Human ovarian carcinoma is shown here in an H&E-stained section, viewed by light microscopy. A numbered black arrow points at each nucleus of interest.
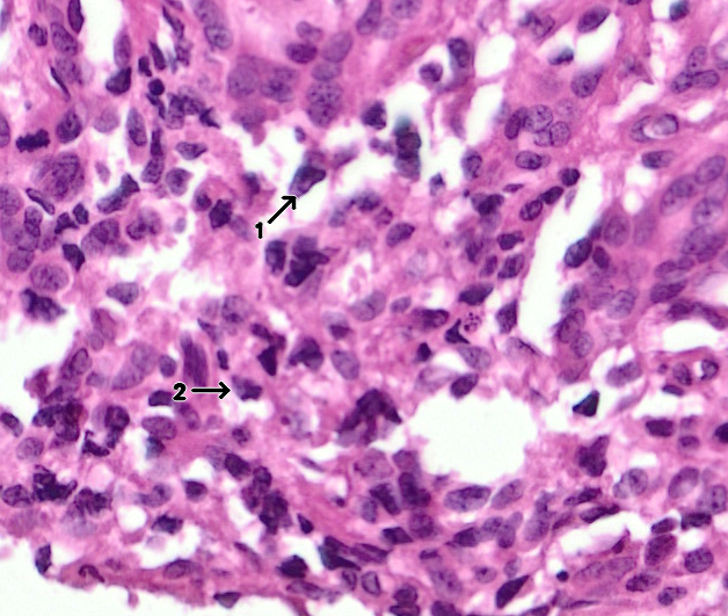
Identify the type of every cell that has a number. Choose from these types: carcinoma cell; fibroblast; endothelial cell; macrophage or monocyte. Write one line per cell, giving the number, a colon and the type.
1: carcinoma cell
2: macrophage or monocyte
